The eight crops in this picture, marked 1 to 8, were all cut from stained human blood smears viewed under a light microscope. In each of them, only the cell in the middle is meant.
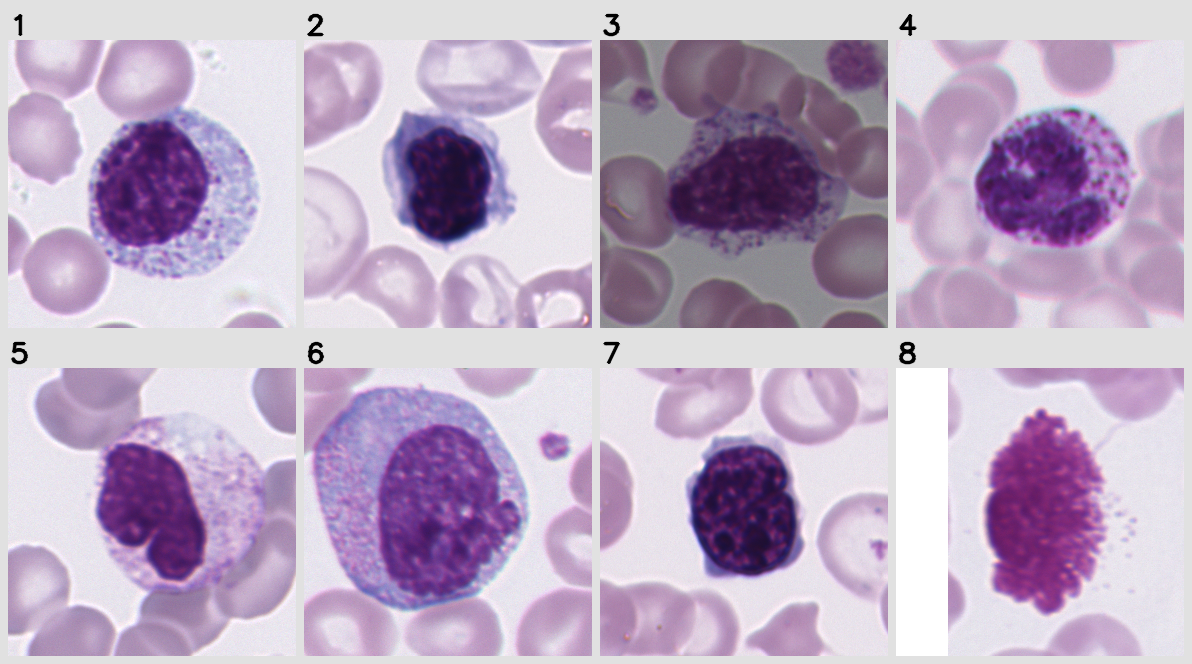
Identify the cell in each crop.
1: myelocyte
2: normoblast
3: myelocyte
4: basophil
5: band neutrophil
6: promyelocyte
7: normoblast
8: smudge cell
